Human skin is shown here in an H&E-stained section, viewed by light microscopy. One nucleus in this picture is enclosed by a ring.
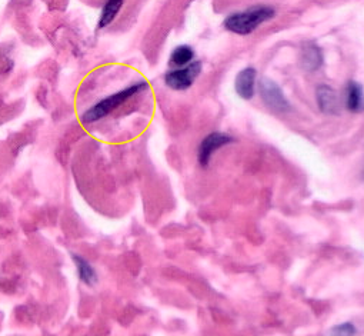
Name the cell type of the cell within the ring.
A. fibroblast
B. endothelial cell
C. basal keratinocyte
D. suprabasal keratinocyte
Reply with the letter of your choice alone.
A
